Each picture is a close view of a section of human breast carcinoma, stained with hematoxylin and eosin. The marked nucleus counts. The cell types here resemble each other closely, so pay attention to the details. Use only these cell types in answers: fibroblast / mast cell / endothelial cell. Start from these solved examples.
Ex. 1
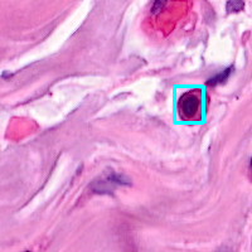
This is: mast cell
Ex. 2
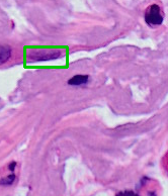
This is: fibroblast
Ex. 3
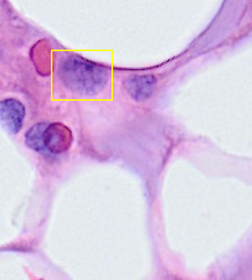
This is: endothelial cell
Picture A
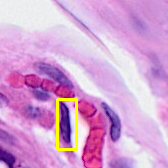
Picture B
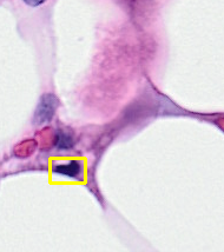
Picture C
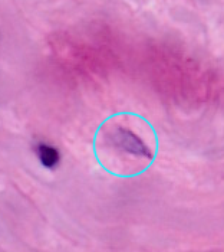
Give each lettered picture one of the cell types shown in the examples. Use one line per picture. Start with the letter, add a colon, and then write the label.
A: endothelial cell
B: endothelial cell
C: fibroblast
